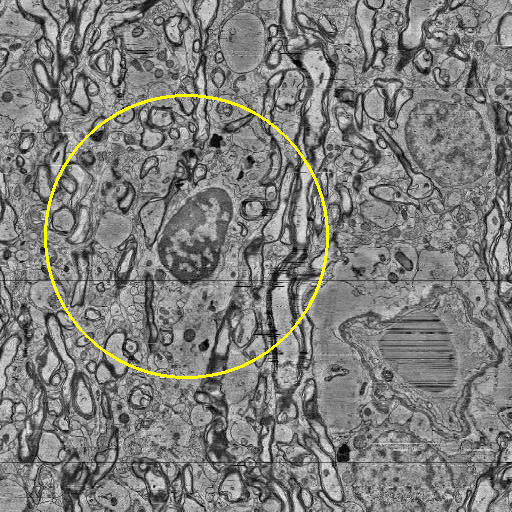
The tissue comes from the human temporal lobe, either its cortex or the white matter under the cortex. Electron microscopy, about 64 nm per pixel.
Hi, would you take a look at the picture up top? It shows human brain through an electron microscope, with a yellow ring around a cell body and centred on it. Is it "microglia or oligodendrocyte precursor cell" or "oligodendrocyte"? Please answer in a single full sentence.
The best fit for the cell in the middle of the ring is a microglial cell or oligodendrocyte precursor cell, I reckon.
